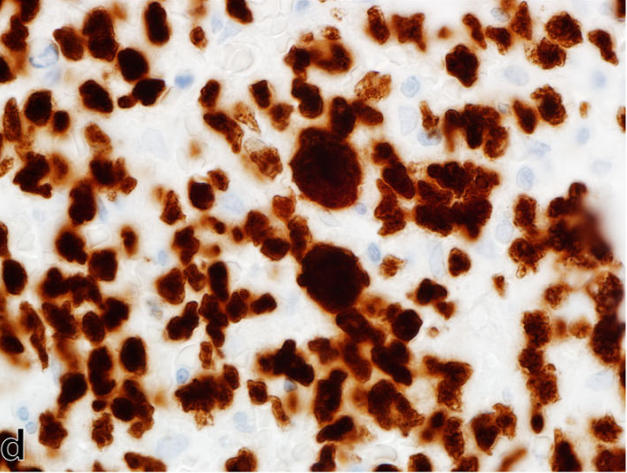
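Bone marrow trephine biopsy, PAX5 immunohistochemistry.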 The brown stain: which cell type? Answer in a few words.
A: Neoplastic B cells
